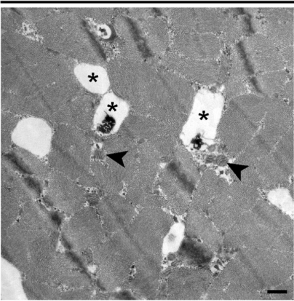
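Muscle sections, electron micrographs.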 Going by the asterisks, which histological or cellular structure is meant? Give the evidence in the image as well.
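The asterisks lie in pale, electron-lucent, membrane-bounded spaces between myofibrils. Some of these spaces hold dark, dense material.
Conclusion: degradative vacuoles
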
